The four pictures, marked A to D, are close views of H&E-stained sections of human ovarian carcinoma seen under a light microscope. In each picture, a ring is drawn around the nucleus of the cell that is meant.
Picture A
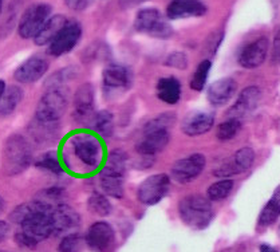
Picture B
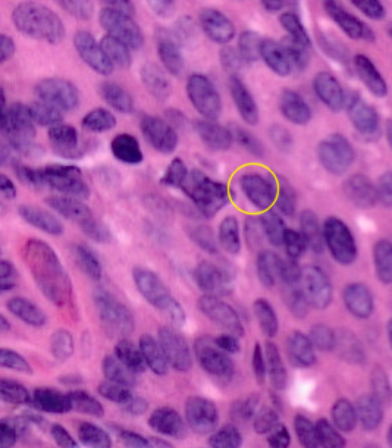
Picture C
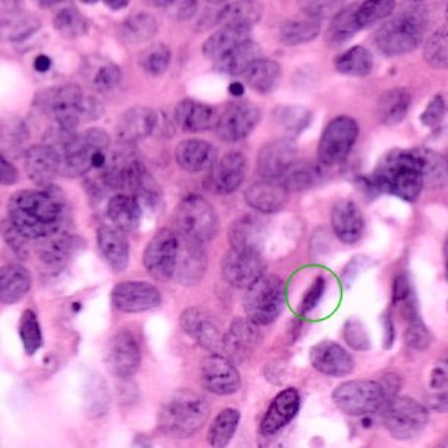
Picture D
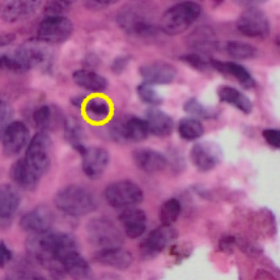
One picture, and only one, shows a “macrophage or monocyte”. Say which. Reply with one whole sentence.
Picture D shows the “macrophage or monocyte”.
